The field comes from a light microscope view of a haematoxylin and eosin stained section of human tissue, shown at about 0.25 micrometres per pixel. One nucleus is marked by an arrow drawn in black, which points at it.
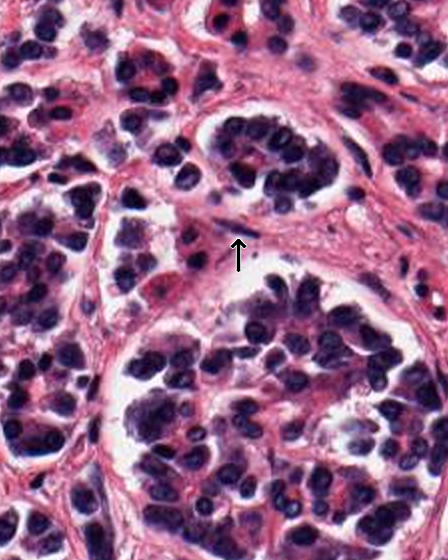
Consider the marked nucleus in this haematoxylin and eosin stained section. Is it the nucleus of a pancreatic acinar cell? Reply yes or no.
no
